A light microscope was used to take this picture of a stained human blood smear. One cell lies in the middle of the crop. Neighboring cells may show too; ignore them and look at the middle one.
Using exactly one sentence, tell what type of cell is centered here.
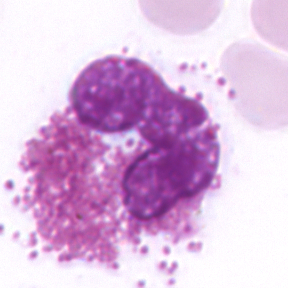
Regarding the central cell, it is an eosinophil.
